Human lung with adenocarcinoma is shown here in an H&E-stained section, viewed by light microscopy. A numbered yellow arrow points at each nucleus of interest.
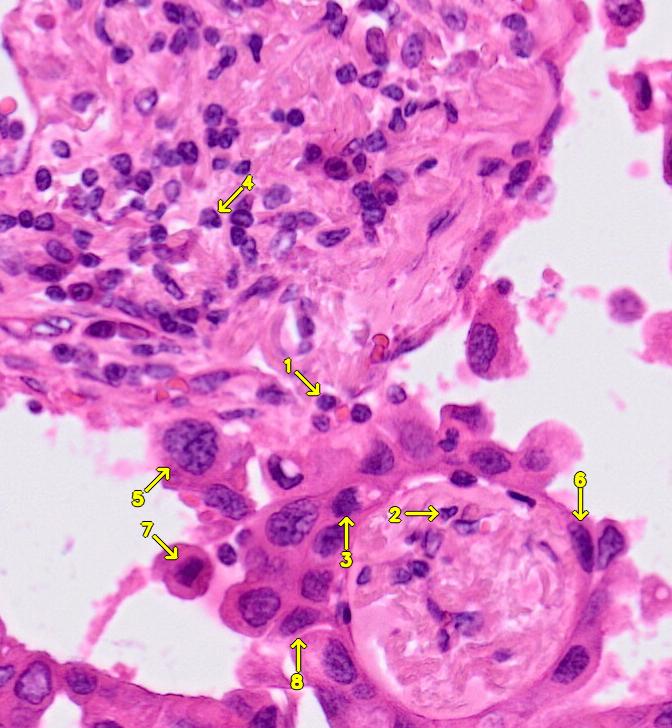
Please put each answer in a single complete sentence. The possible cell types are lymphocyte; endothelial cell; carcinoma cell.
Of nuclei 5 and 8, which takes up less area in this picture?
Number 8 is smaller, since number 5 takes up about 4 times as much area.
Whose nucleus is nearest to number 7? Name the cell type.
The nucleus nearest to number 7 is that of a lymphocyte.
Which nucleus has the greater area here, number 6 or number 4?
Nucleus 6 is the larger one, covering about 3 times the area of nucleus 4.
